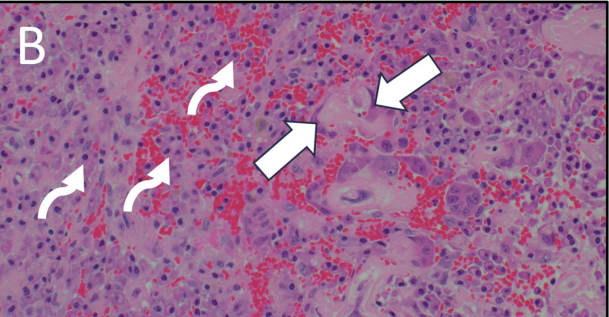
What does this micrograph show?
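This is a dense infiltrate of plasma cells lying in sheets, with round, often off-centre dark nuclei and a rim of purple-pink cytoplasm. Red blood cells are scattered in streaks among them. Toward one side, pale pink amorphous material without nuclei forms rounded, partly concentric nodules between the cells. Some large cells with several nuclei lie close to these nodules.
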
